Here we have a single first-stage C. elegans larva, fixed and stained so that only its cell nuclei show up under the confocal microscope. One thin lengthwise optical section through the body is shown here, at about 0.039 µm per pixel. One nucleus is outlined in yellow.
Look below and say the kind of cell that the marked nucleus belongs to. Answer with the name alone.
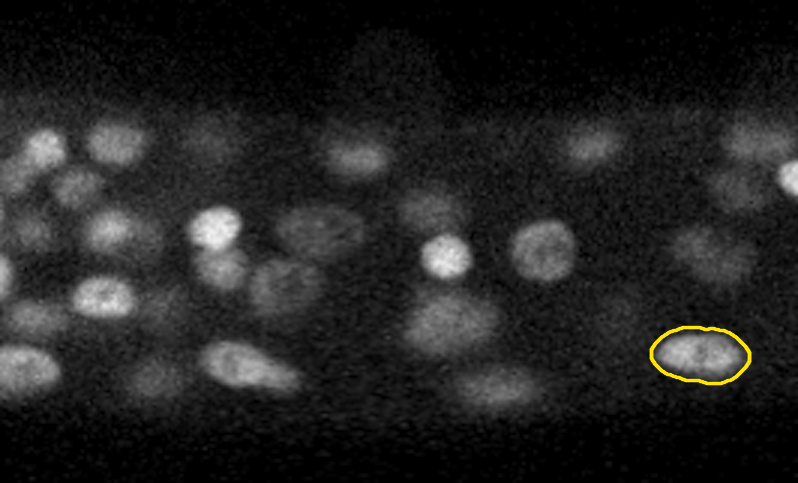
body wall muscle cell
